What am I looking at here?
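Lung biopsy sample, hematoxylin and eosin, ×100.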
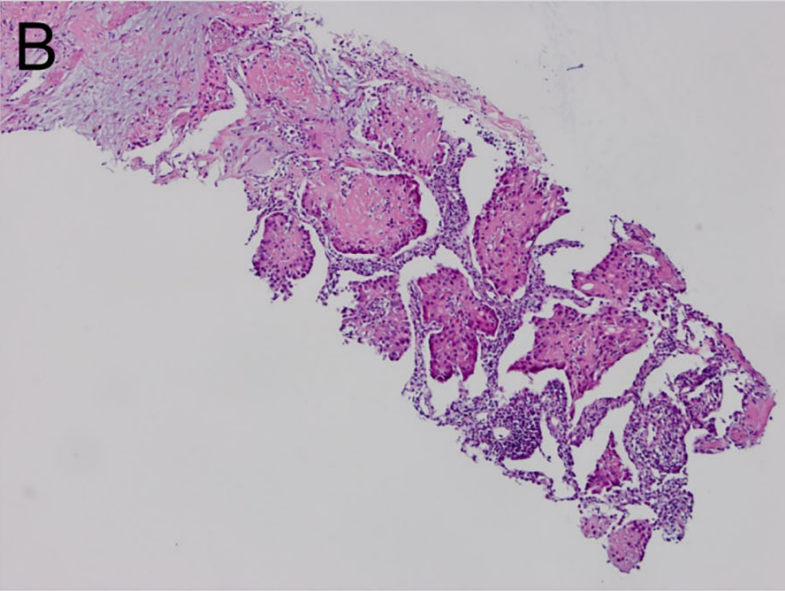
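The fragment is broken up into many irregular, rounded to angular spaces that are filled with pink material. Thin septa of crowded cells with dark purple nuclei separate these spaces, and plump cells with pink cytoplasm line their margins. At one end the tissue is paler and looser, with elongated nuclei lying in a fibrous pink-violet matrix. Small dense clusters of dark nuclei are seen between some of the spaces.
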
